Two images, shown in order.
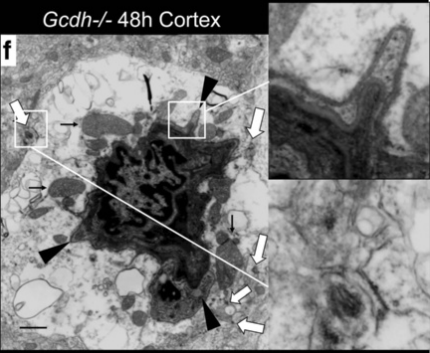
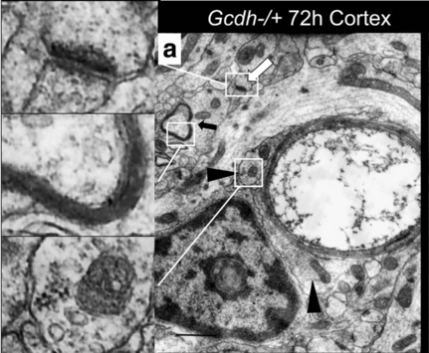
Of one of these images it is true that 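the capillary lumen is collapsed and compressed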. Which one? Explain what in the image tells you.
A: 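First image: no open lumen; a dark, crumpled cell mass sits in the center, surrounded by pale swollen spaces. Second image: a round, open capillary lumen with a smooth wall and tightly packed surrounding tissue. That points to this answer: the first image.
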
